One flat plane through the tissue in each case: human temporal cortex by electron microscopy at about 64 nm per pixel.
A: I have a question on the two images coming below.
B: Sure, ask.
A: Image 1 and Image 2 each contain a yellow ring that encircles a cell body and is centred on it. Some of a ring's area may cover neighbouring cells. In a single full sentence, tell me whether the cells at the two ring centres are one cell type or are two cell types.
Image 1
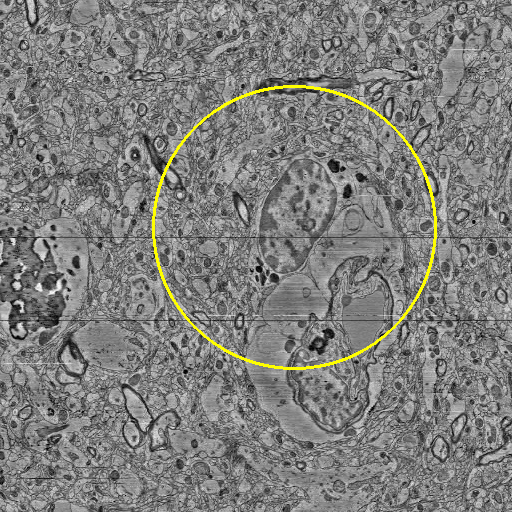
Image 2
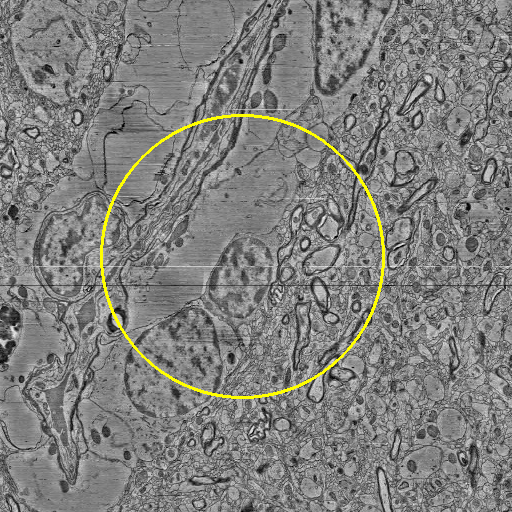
As for the ring-centre cells, the one in Image 1 and the one in Image 2 are two cell types.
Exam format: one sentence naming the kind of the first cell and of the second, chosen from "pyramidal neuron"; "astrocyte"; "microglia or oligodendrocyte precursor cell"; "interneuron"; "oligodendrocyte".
The first picture's cell is a microglial cell or oligodendrocyte precursor cell, and the second picture's cell is an oligodendrocyte.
